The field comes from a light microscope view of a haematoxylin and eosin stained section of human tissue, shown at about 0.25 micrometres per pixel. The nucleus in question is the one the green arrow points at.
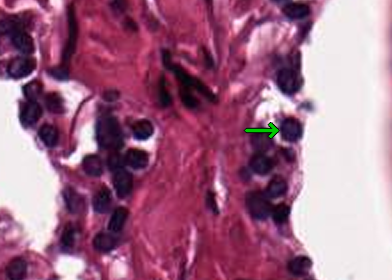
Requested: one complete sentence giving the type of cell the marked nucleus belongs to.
Part of a thyroid follicular cell is the marked nucleus.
